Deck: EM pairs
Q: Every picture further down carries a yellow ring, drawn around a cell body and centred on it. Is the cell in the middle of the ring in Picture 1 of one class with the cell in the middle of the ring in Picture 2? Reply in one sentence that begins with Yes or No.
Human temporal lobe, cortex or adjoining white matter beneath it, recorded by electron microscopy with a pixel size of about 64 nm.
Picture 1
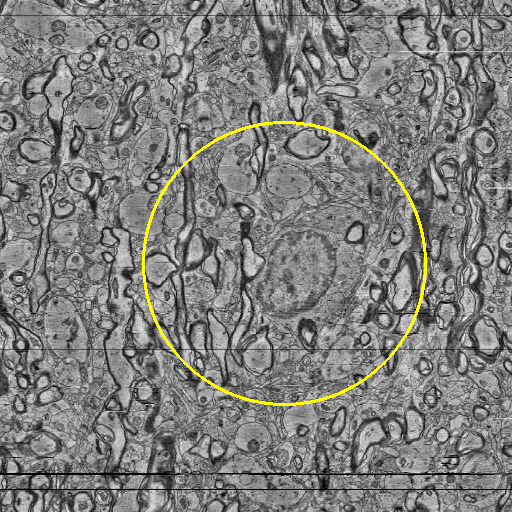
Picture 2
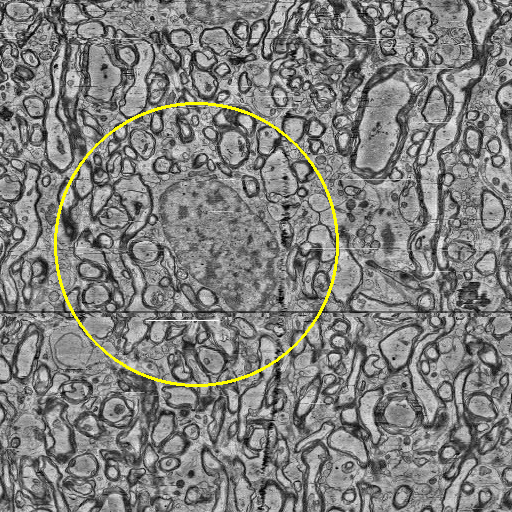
Yes, the cell centred in the ring of Picture 1 and the one in Picture 2 belong to one class.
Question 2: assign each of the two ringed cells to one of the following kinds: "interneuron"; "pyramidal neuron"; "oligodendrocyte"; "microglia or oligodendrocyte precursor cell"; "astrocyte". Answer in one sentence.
The cell at the ring centre is an oligodendrocyte in both pictures.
